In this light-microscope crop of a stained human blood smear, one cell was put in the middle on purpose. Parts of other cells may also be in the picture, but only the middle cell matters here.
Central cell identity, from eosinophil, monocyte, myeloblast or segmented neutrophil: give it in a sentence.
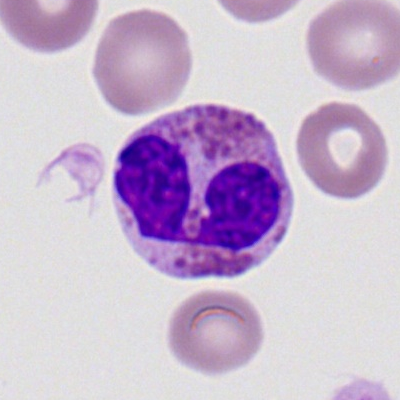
The cell found in the middle of this crop is an eosinophil.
